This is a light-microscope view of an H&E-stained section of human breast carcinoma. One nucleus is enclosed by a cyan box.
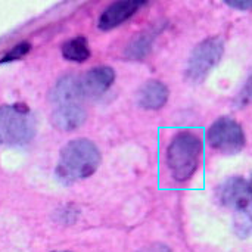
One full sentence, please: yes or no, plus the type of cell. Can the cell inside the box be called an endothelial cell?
No, the cell inside the box is not an endothelial cell; the correct answer is a carcinoma cell.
